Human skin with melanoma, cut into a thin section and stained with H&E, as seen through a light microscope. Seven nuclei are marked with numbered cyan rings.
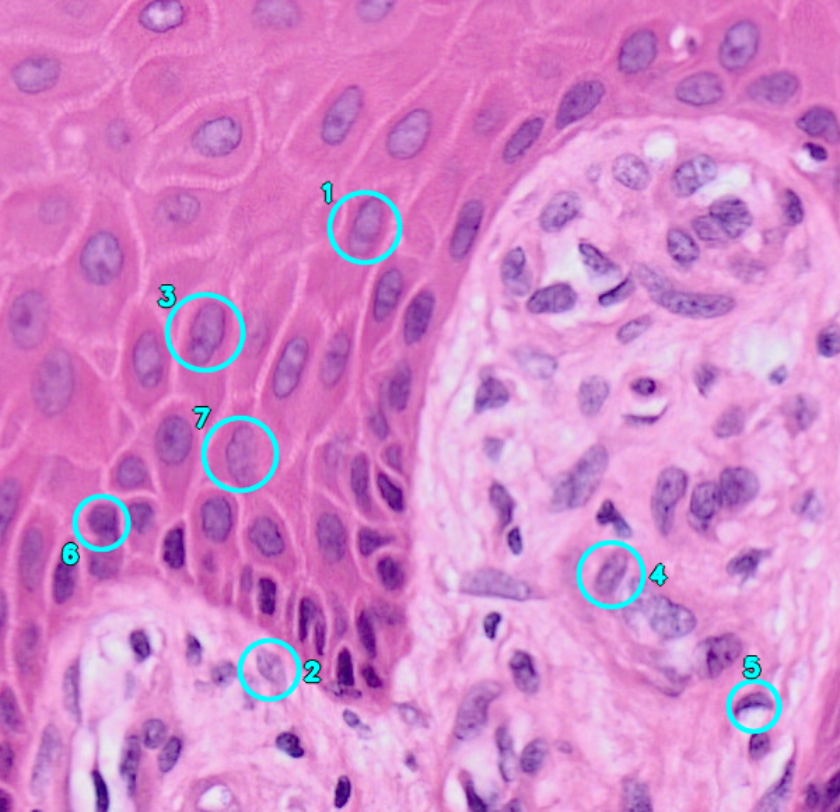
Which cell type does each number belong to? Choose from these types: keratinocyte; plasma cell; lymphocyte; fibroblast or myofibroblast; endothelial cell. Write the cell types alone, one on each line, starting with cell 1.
keratinocyte
fibroblast or myofibroblast
keratinocyte
endothelial cell
fibroblast or myofibroblast
keratinocyte
keratinocyte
